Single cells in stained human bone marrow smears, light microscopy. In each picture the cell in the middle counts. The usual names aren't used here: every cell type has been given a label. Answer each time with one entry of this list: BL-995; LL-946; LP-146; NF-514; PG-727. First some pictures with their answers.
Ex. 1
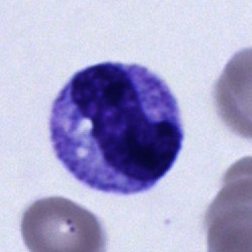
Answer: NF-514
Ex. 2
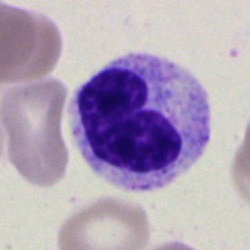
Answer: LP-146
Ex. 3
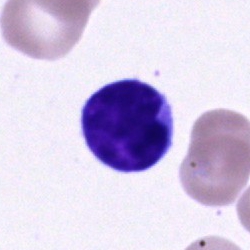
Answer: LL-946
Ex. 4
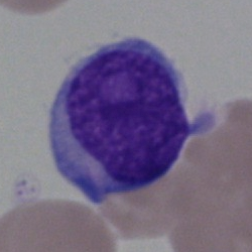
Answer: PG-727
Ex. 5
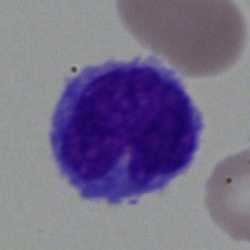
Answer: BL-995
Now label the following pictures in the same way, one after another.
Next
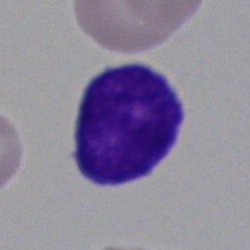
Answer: PG-727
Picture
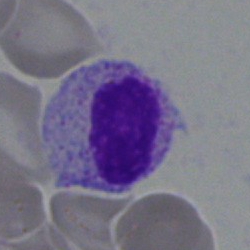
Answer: LP-146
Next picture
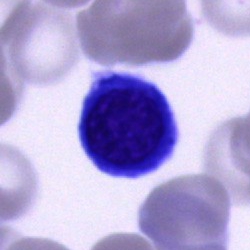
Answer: LL-946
